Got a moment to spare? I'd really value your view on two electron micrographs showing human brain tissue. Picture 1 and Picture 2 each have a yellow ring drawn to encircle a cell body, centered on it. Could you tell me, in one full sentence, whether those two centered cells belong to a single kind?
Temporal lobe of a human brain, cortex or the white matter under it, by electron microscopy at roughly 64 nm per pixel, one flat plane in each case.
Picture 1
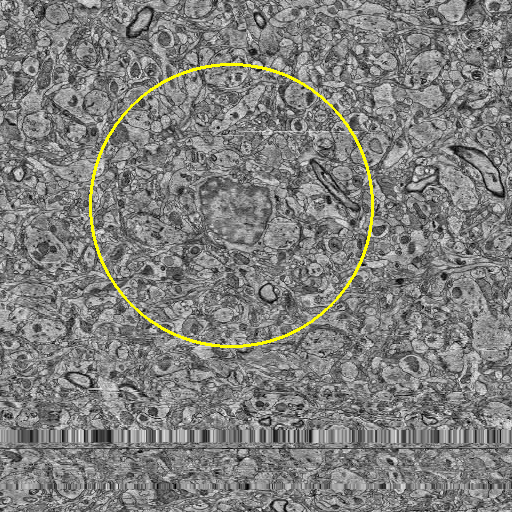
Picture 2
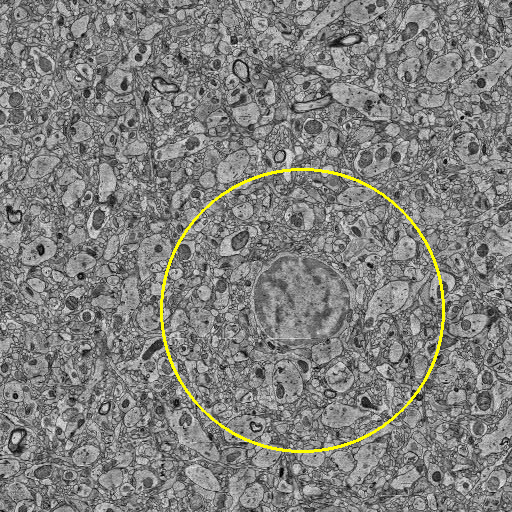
Yes, the two centered cells in Picture 1 and Picture 2 are of a single kind.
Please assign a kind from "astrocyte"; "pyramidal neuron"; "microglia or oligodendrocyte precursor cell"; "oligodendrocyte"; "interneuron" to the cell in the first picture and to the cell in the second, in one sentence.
In each picture the ringed cell is an oligodendrocyte.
